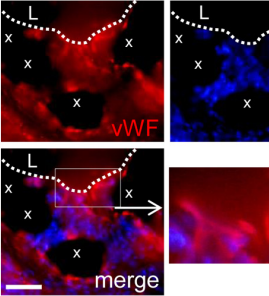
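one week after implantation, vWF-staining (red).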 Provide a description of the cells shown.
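This fluorescence view shows the tissue of a stented artery wall, with a dashed line tracing the border toward the lumen at the top. Below the line, red-stained tissue surrounds several dark, empty holes left by the stent struts. Many small blue nuclei are crowded among the red tissue, especially around and between the strut holes. An enlarged inset of the luminal border shows a thin, elongated red lining running along the surface.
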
